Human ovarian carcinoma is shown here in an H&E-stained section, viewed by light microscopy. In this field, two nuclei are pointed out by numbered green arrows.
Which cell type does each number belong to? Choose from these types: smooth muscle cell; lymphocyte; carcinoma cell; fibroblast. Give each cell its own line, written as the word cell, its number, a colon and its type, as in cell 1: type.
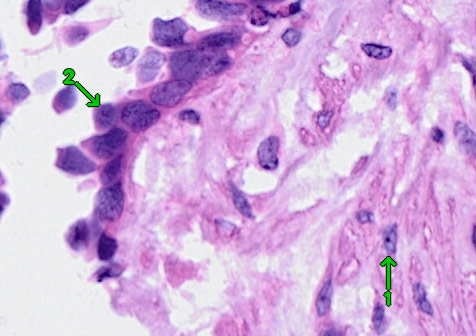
cell 1: fibroblast
cell 2: carcinoma cell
